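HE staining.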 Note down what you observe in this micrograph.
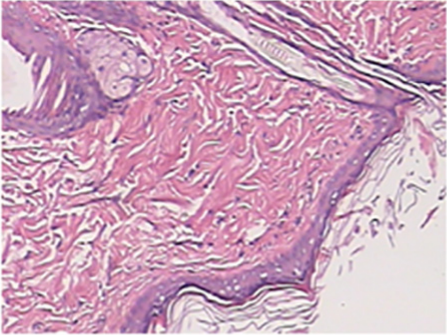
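This is a section of skin stained with hematoxylin and eosin, showing the surface epithelium, a hair follicle and the dermis beneath. The epidermis forms a thin band of purple-nucleated cells along the folded surface, with pale, flaky layers lying above it. At the upper left, beside a follicle, sits a rounded lobule of pale, foamy-looking cells. The dermis is made of wavy pink collagen bundles with only scattered small nuclei between them.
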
